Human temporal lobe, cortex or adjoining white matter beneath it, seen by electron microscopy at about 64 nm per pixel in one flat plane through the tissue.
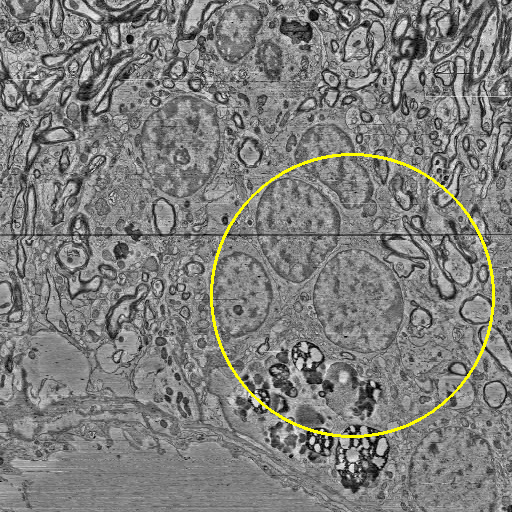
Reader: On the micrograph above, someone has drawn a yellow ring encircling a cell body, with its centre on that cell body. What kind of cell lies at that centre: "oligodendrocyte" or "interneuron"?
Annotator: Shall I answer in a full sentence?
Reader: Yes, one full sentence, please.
Here an oligodendrocyte sits at the centre of the yellow ring drawn on the micrograph.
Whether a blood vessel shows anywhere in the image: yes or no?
Yes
